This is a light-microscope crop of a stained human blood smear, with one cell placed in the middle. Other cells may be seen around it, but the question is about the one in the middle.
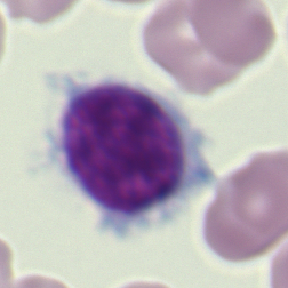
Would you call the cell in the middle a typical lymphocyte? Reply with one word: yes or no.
no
